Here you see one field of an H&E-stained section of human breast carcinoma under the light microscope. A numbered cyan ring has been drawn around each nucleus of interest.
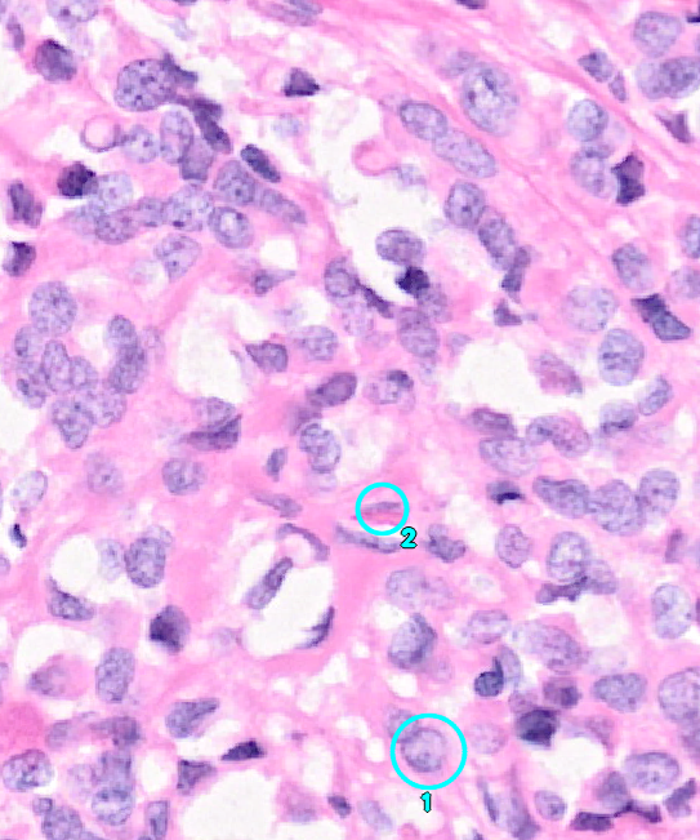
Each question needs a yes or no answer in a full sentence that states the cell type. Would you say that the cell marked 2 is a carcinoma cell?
No, cell 2 is to be classed as an endothelial cell, not a carcinoma cell.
